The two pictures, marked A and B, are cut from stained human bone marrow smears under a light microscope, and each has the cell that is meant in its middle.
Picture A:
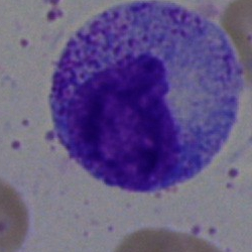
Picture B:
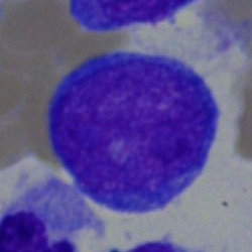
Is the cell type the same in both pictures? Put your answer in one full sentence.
No, the types are not the same, since picture A shows a myelocyte and picture B a blast.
